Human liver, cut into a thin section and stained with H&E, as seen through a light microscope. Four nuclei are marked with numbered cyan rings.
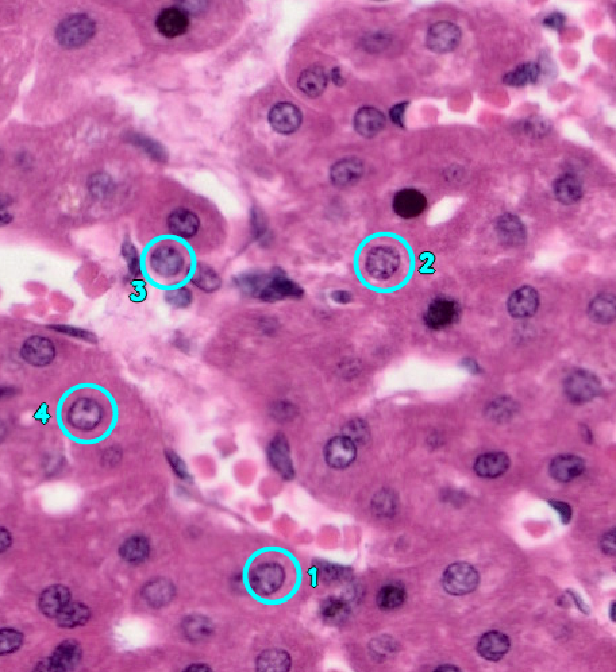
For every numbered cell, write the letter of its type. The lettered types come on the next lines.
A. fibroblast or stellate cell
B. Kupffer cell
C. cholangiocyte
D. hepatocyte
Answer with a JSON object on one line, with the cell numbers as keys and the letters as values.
{"1": "D", "2": "D", "3": "C", "4": "D"}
